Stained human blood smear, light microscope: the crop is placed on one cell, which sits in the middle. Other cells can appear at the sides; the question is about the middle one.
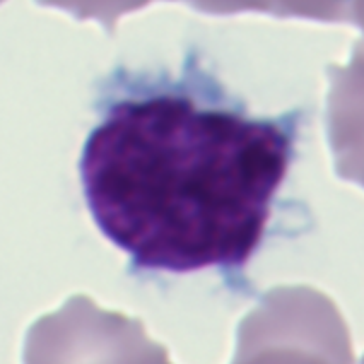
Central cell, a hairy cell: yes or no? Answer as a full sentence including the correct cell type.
Yes, the cell in the exact middle is a hairy cell.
